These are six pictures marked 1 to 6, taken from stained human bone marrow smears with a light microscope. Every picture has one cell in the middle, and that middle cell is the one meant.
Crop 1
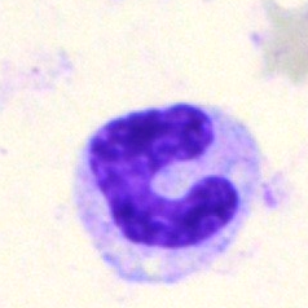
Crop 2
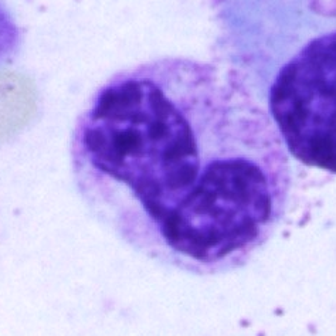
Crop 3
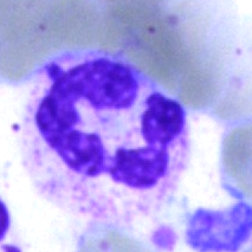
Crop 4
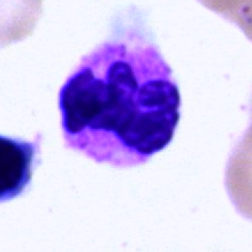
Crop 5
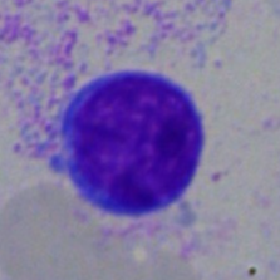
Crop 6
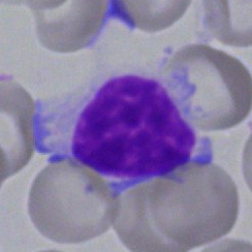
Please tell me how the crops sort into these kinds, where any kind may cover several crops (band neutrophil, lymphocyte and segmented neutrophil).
1: band neutrophil
2: band neutrophil
3: segmented neutrophil
4: segmented neutrophil
5: lymphocyte
6: lymphocyte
